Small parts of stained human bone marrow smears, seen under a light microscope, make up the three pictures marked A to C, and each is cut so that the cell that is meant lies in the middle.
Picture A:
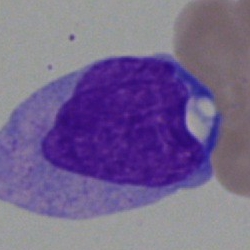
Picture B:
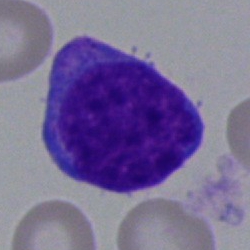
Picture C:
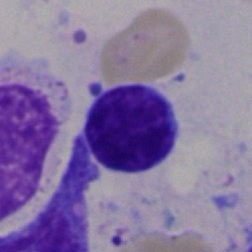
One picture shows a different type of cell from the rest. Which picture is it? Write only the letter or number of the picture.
C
